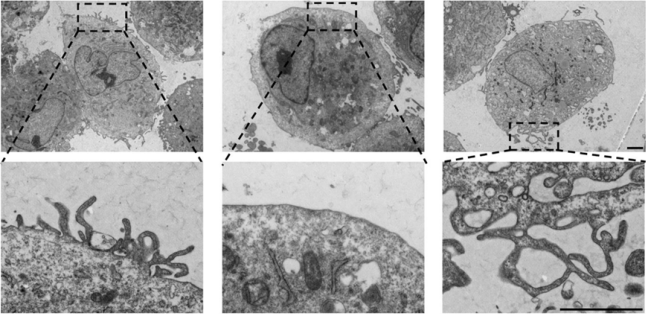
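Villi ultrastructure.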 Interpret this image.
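These are transmission electron micrographs of three whole cells in the top row, each with a stretch of its surface enlarged in the row below. Each cell is rounded, with a large, irregularly outlined nucleus and granular cytoplasm. At the cell edge on the left, the surface membrane forms a cluster of thin, folded finger-like projections. The middle cell has a comparatively smooth surface, with only a few short bumps, and its enlarged view shows organelles lying just beneath the membrane. On the right, the enlarged surface carries a dense tangle of long, looping projections that enclose pale spaces between them.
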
